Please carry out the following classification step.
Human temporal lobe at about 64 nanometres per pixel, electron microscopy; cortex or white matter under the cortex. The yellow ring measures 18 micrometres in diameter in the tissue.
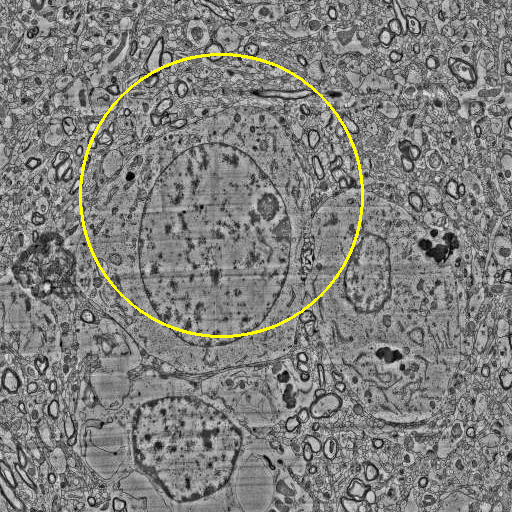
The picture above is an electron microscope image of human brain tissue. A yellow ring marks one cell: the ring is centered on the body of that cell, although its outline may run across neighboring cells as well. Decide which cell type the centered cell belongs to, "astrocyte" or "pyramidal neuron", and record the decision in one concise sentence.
The cell centered in the yellow ring is a pyramidal neuron.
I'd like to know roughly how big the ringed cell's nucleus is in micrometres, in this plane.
About 13 by 11 micrometers, in this plane.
